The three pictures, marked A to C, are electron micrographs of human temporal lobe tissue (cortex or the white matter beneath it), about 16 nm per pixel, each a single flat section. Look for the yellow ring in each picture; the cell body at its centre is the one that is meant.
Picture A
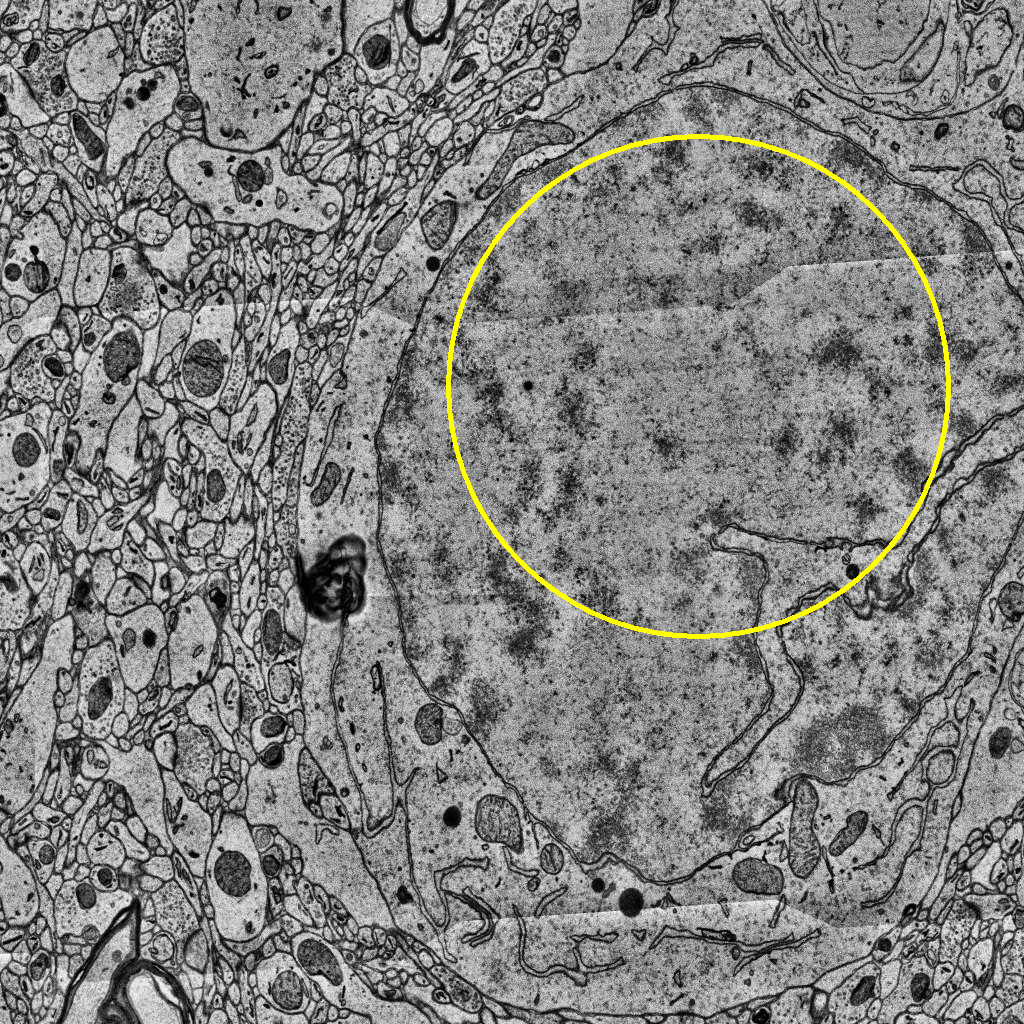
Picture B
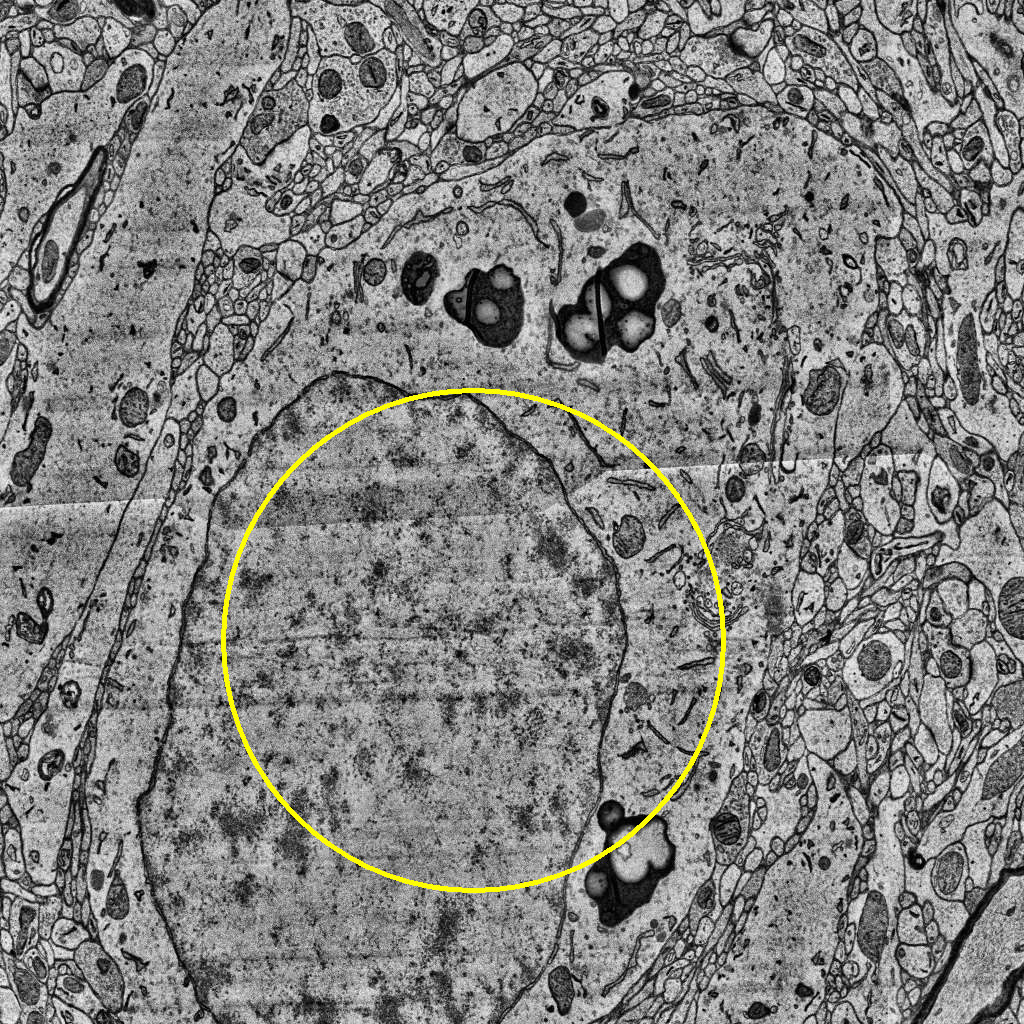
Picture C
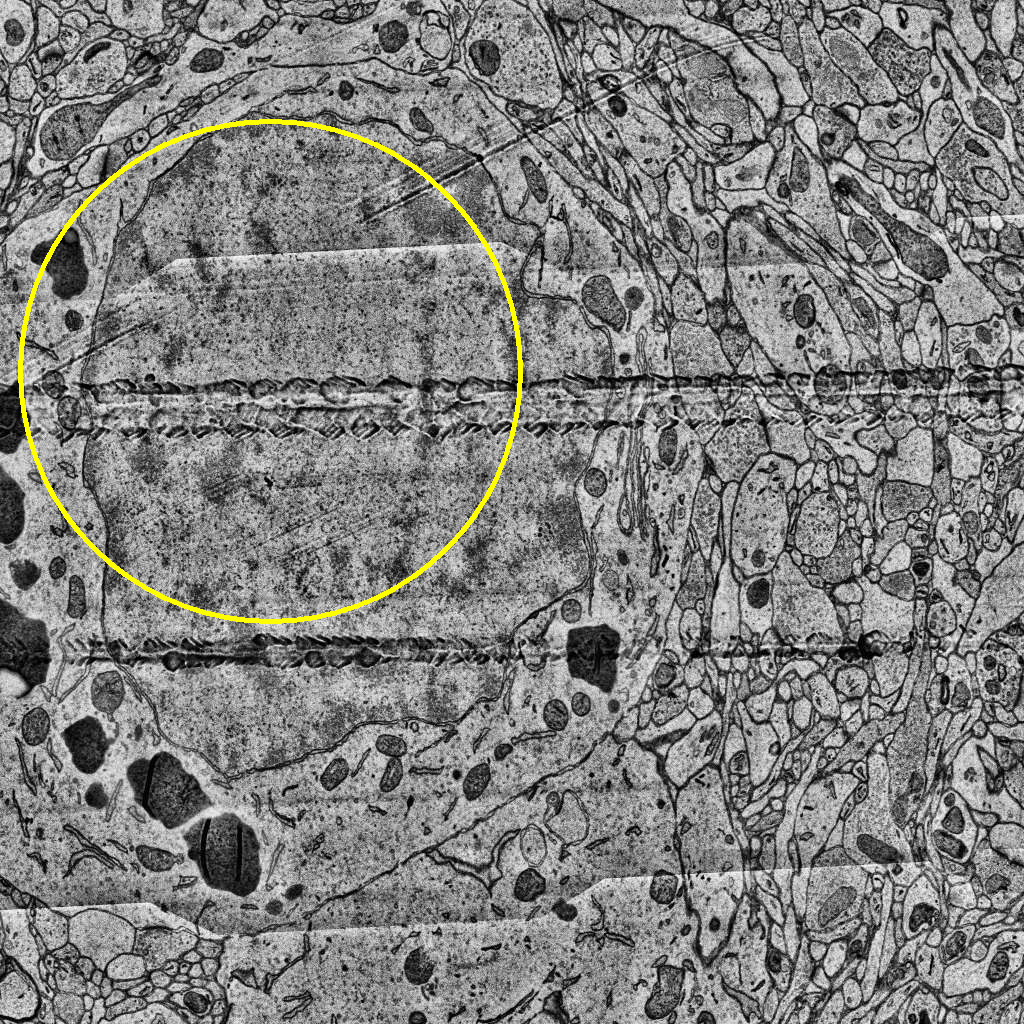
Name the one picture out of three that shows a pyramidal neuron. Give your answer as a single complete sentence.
The picture with the pyramidal neuron is B.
